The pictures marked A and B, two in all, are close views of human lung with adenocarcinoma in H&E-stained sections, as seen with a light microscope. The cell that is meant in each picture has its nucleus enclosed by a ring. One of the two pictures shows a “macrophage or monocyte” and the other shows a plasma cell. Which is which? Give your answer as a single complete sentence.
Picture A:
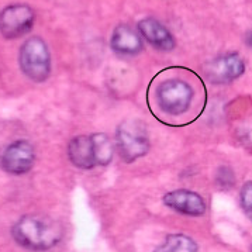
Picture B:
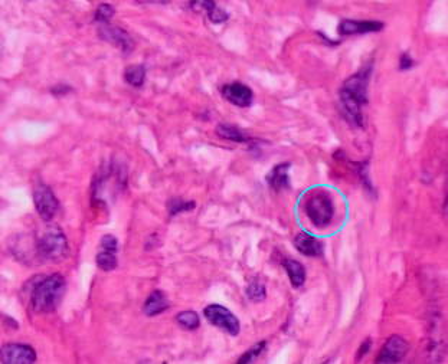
Picture B shows a plasma cell, while picture A shows a “macrophage or monocyte”.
